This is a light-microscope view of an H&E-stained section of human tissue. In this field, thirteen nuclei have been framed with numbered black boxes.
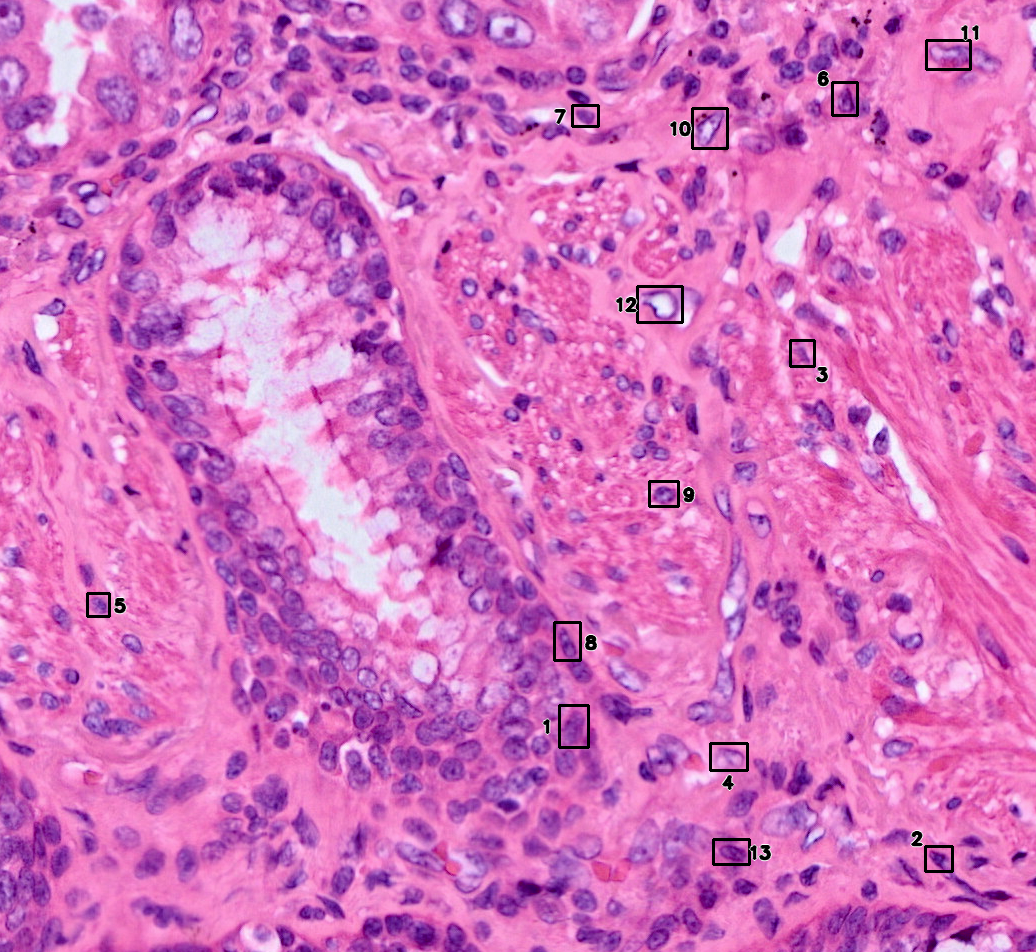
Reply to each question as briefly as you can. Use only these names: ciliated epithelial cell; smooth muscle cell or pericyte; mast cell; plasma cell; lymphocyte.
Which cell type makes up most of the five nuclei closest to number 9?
smooth muscle cell or pericyte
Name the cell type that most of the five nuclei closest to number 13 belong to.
plasma cell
